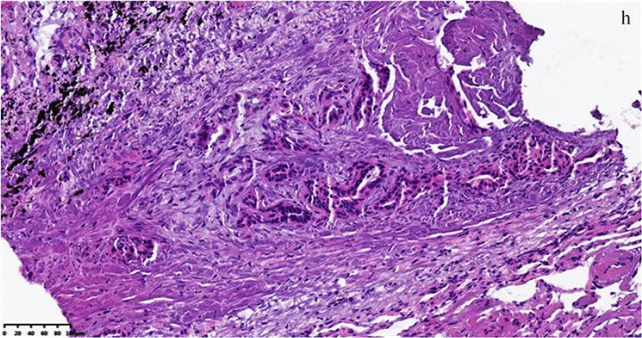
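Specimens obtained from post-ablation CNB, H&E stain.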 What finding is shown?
Adenocarcinoma.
